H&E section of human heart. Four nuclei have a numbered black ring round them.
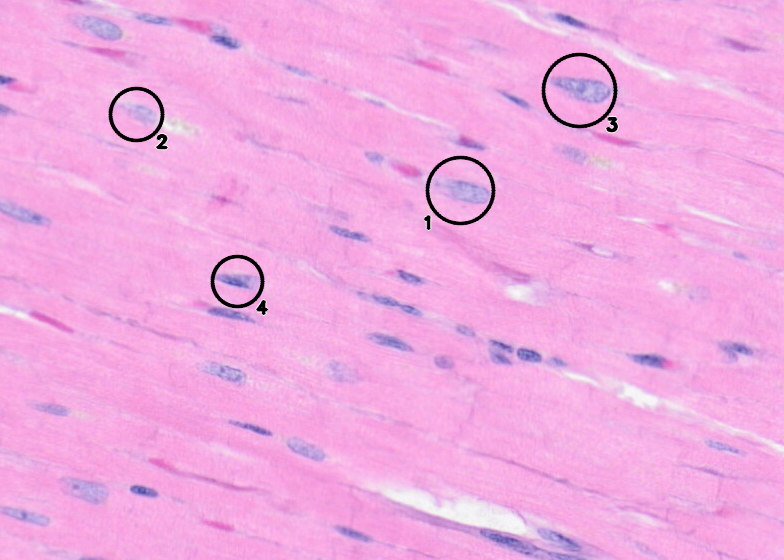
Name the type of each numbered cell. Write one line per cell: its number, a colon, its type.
1: cardiomyocyte
2: cardiomyocyte
3: cardiomyocyte
4: endothelial cell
